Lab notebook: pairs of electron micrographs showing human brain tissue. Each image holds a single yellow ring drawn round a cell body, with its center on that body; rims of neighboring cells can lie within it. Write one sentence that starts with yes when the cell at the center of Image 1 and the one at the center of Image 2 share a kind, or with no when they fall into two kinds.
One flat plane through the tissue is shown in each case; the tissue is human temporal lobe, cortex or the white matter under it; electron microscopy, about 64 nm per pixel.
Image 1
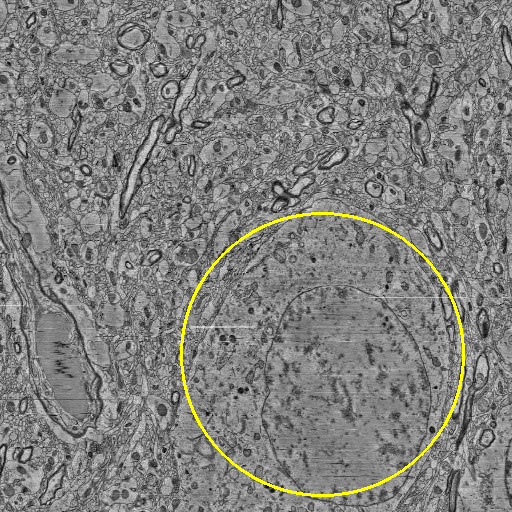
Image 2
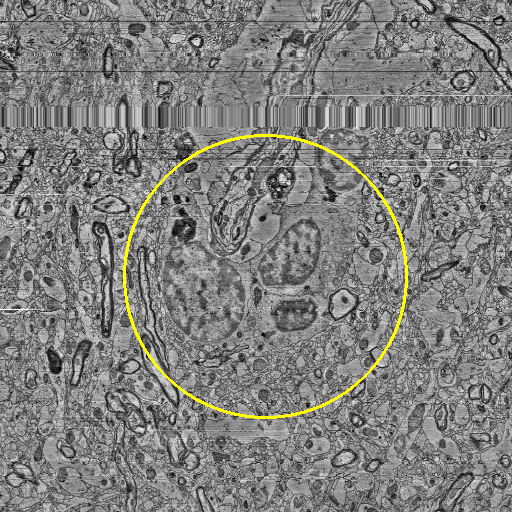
No, the centered cell in Image 1 and the centered cell in Image 2 are of two kinds.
